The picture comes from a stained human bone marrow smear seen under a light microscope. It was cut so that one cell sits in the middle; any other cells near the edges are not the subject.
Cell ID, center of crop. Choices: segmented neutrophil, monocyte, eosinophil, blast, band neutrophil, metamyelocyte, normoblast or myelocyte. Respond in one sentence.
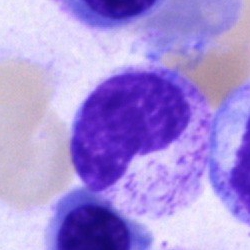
The middle of this crop is occupied by a metamyelocyte.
